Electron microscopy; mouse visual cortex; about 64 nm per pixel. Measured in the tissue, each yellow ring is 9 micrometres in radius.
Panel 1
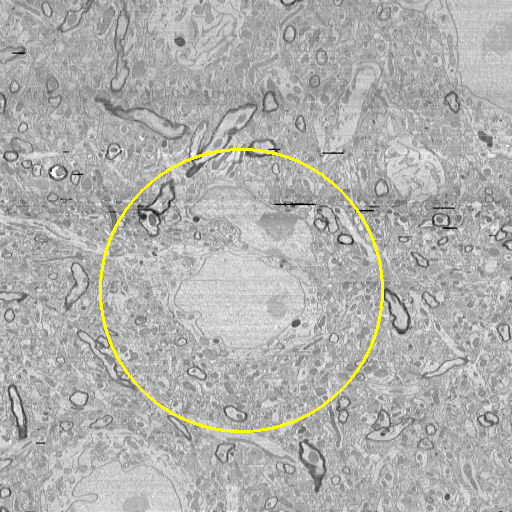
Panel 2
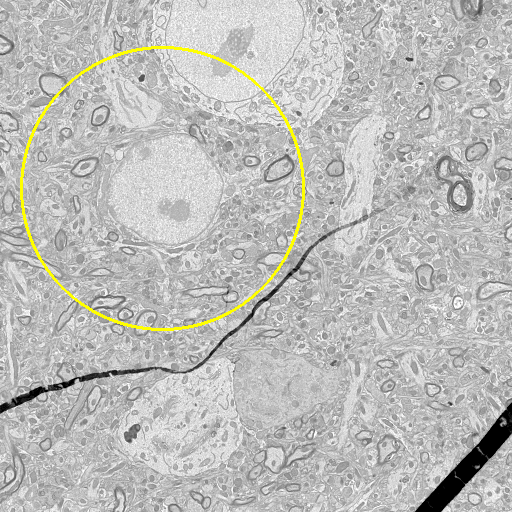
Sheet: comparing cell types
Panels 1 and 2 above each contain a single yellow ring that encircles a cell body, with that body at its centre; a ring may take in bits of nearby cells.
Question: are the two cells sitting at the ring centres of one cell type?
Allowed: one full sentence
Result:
No, the ring-centre cells in Panel 1 and Panel 2 are of two types.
